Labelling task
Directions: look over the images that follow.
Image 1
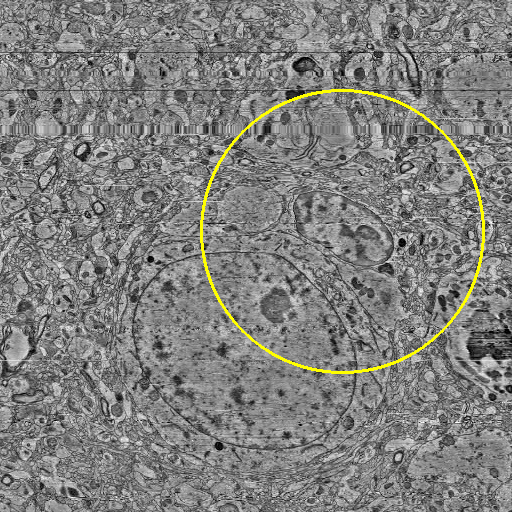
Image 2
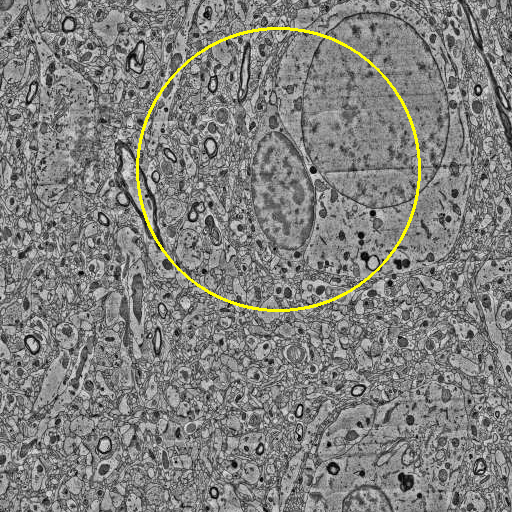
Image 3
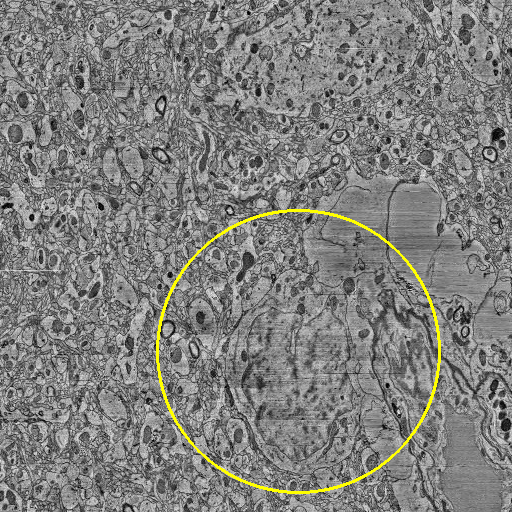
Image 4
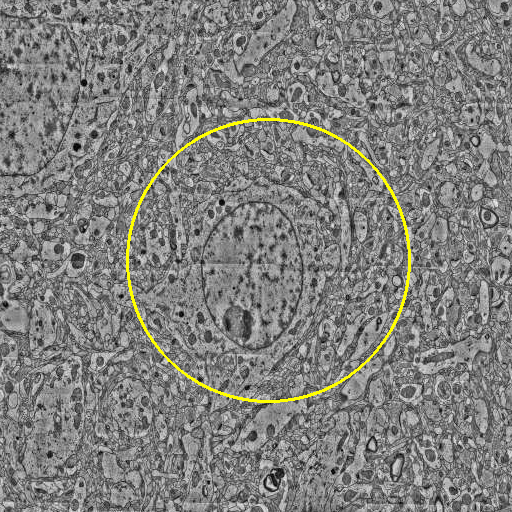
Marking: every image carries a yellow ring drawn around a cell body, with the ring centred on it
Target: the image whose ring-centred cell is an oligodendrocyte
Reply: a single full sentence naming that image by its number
The requested cell sits at the ring's centre in Image 2.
